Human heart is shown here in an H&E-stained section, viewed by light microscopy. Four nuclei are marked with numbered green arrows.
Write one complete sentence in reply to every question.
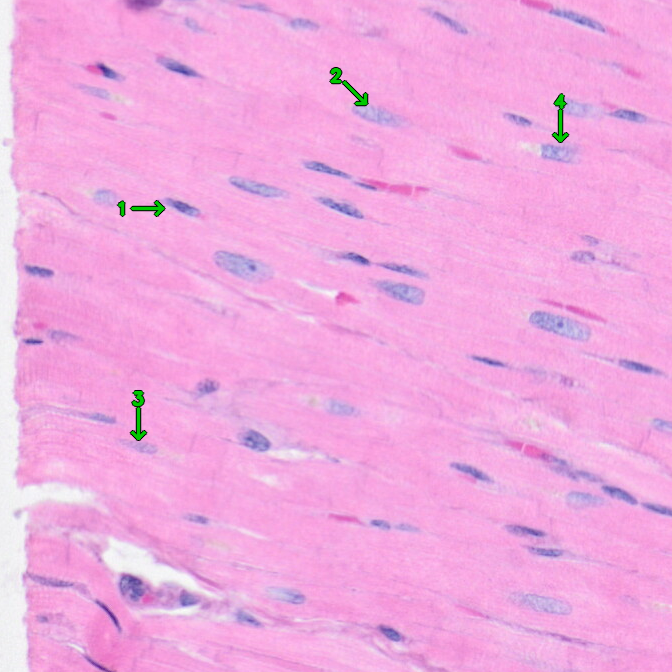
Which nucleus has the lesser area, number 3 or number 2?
Nucleus 3 is the smaller one; nucleus 2 covers about 1.5 times its area.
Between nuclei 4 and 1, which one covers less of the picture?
The smaller nucleus is 1, and 4 covers roughly 2 times its area.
